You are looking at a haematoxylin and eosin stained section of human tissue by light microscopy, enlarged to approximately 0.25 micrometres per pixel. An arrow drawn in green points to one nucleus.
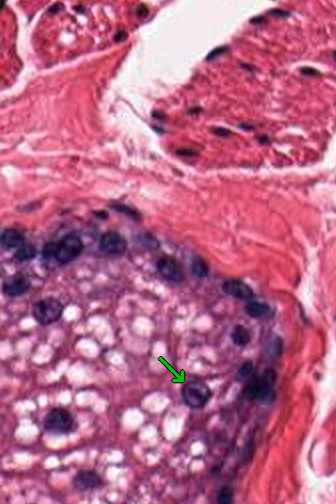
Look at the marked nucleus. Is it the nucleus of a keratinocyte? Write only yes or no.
no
